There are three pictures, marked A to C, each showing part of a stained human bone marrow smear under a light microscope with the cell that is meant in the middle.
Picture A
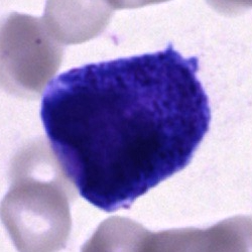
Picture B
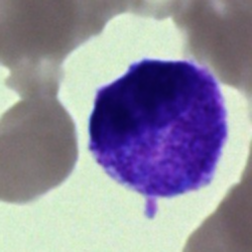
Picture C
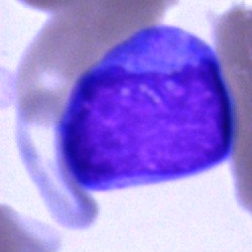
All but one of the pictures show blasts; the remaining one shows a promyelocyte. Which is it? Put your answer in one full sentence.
Picture A is the one that shows the promyelocyte.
